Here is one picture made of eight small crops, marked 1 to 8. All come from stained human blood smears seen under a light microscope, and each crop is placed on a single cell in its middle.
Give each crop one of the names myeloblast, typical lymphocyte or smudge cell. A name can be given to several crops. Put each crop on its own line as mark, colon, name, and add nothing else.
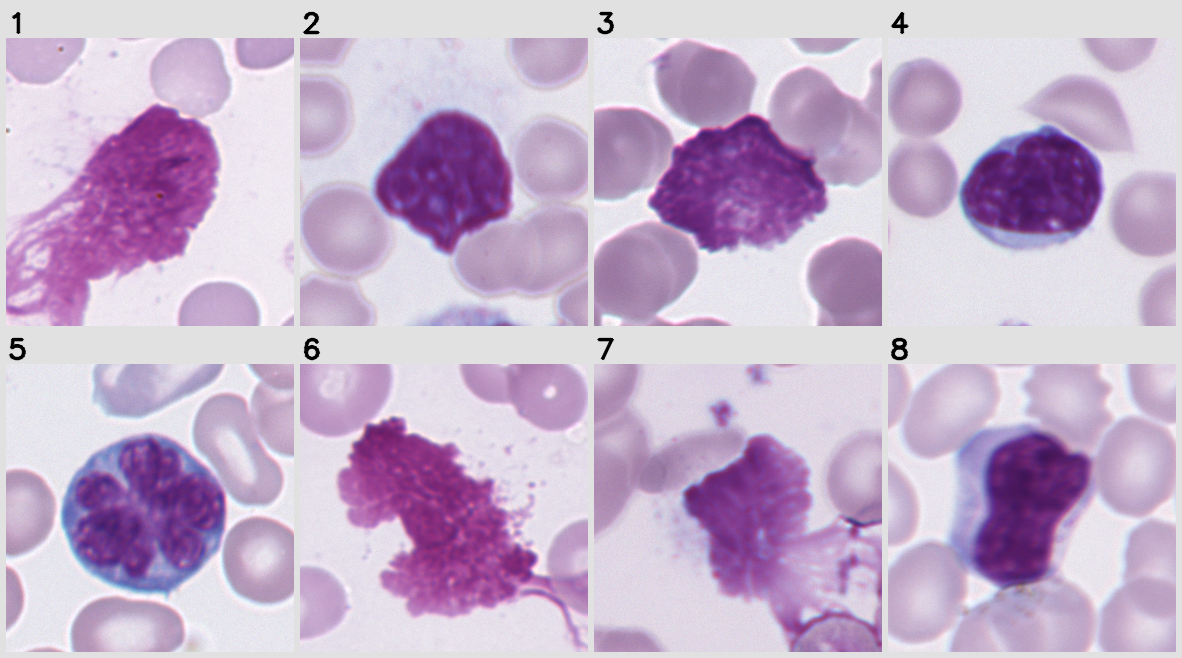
1: smudge cell
2: smudge cell
3: smudge cell
4: typical lymphocyte
5: myeloblast
6: smudge cell
7: smudge cell
8: typical lymphocyte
